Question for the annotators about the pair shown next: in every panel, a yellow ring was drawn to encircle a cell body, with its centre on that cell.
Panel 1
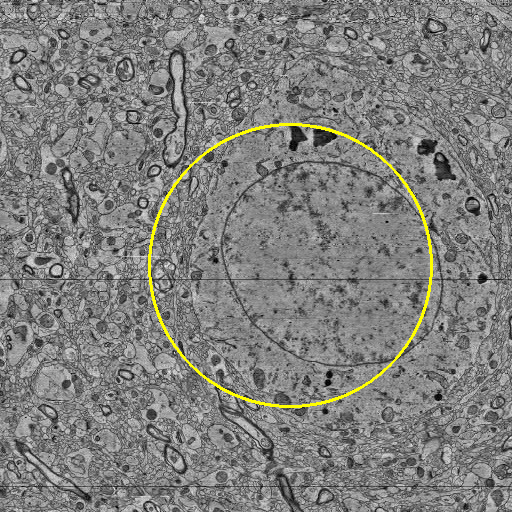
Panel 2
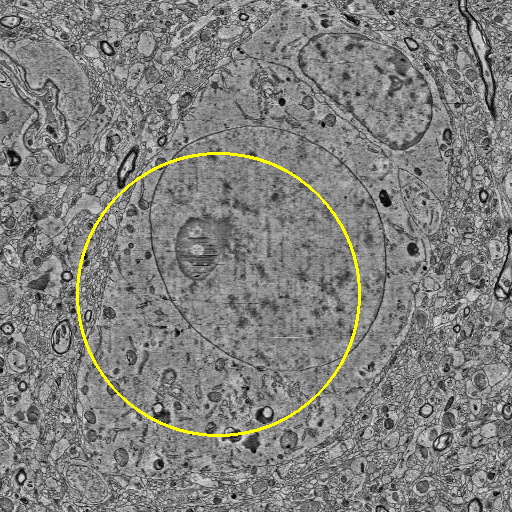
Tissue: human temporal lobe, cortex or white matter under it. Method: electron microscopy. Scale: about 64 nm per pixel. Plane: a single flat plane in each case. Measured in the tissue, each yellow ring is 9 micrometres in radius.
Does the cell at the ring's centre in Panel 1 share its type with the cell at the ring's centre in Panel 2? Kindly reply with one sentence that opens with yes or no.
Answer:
Yes, in Panels 1 and 2 the cells at the ring centres belong to a single type.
